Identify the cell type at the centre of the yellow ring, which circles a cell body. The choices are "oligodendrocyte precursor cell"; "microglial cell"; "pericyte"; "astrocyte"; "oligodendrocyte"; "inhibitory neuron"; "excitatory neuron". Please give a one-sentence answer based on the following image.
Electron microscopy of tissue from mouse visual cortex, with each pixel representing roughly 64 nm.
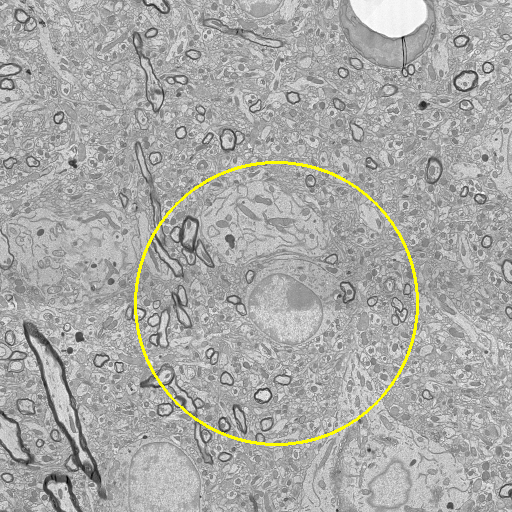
The cell marked by the ring is an oligodendrocyte.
